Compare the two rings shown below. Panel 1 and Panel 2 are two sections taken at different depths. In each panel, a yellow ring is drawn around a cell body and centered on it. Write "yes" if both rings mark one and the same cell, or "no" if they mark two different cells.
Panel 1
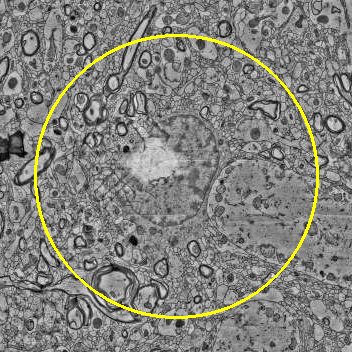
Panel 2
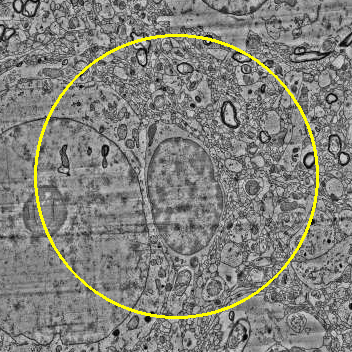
no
